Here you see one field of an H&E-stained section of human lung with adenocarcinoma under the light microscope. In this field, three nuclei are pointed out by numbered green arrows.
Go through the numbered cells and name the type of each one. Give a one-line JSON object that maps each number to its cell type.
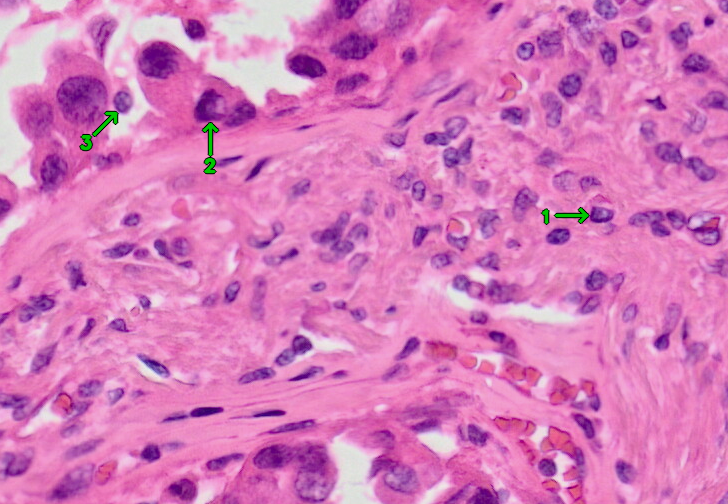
{"1": "plasma cell", "2": "carcinoma cell", "3": "lymphocyte"}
